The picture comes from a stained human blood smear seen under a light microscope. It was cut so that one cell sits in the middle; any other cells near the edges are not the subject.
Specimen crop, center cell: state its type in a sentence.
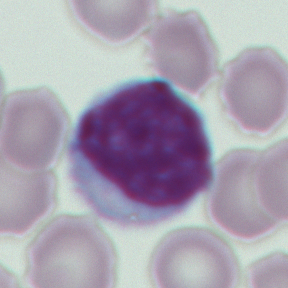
The cell under consideration, at the middle of the crop, is a typical lymphocyte.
